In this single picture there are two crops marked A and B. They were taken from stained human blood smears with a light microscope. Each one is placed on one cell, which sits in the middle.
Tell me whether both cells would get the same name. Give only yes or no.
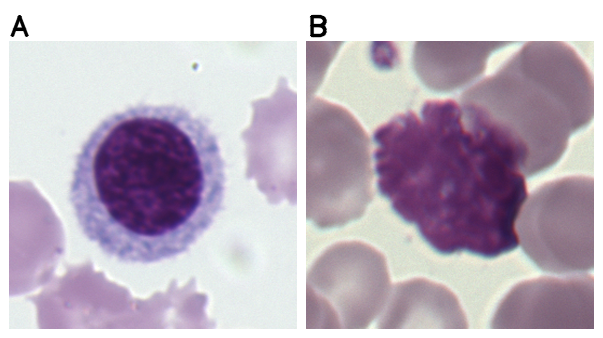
no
